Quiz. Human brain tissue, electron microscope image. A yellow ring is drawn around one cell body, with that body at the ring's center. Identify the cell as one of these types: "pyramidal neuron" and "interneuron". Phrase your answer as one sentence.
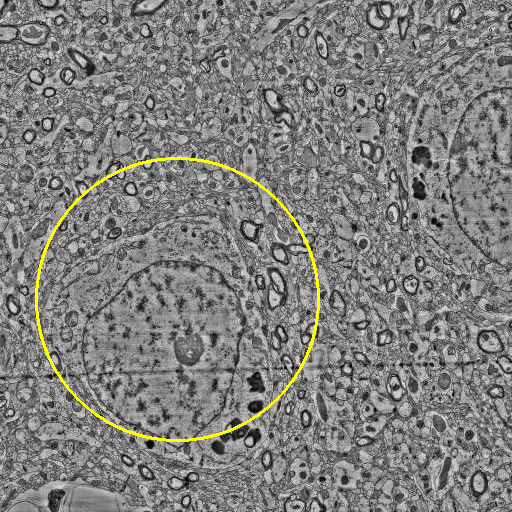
At the center of the ring sits a pyramidal neuron.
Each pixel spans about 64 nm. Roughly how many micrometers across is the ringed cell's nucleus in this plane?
In this plane, the nucleus measures approximately 11 micrometres across.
